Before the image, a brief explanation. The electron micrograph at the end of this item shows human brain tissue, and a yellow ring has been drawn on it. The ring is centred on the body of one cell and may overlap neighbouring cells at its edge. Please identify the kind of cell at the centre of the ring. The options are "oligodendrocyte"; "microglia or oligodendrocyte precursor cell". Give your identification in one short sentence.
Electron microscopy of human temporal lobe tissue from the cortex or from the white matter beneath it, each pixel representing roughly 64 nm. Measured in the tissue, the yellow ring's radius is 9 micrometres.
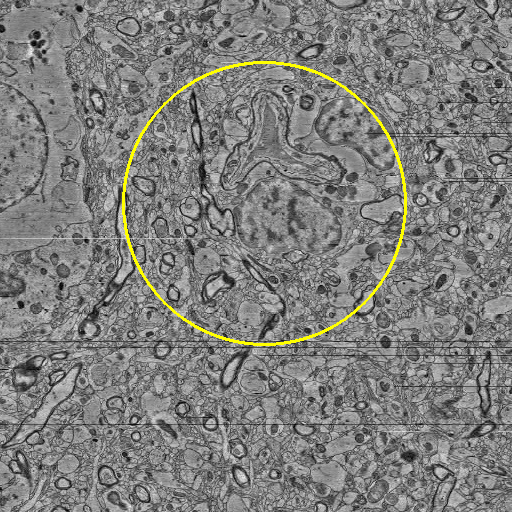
The ring has been placed around an oligodendrocyte.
